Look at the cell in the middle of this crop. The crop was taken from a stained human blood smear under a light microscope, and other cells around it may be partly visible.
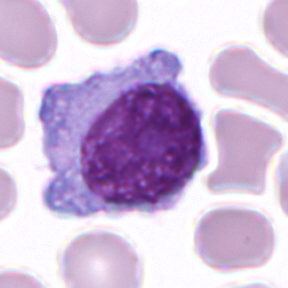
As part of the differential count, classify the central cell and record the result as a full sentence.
Framed in the middle of the crop is a plasma cell.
